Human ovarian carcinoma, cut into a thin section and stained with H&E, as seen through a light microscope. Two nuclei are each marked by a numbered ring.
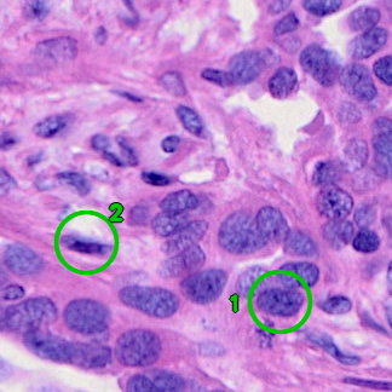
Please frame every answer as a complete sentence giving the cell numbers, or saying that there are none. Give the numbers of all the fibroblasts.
Only at number 2 is there a fibroblast.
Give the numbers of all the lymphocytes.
The numbered cells include no lymphocytes at all.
